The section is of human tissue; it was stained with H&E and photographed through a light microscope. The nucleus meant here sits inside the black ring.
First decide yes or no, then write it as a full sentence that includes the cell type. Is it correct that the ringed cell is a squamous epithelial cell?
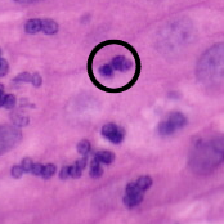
Yes, the ringed cell has been classified as a squamous epithelial cell.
